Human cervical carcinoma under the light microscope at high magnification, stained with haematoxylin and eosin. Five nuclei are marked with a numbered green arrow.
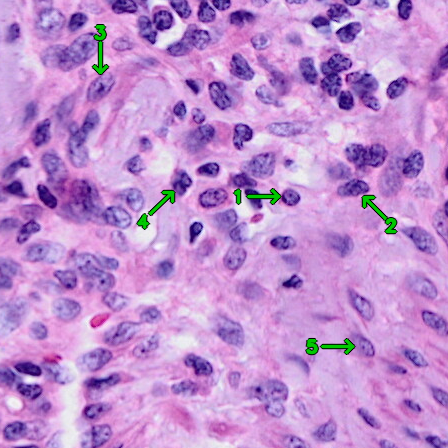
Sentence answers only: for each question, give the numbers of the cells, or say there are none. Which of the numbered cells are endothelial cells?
Only the nucleus marked 3 is that of an endothelial cell.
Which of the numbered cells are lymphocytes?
Within this tissue, the cells numbered 1, 2 and 4 are lymphocytes.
